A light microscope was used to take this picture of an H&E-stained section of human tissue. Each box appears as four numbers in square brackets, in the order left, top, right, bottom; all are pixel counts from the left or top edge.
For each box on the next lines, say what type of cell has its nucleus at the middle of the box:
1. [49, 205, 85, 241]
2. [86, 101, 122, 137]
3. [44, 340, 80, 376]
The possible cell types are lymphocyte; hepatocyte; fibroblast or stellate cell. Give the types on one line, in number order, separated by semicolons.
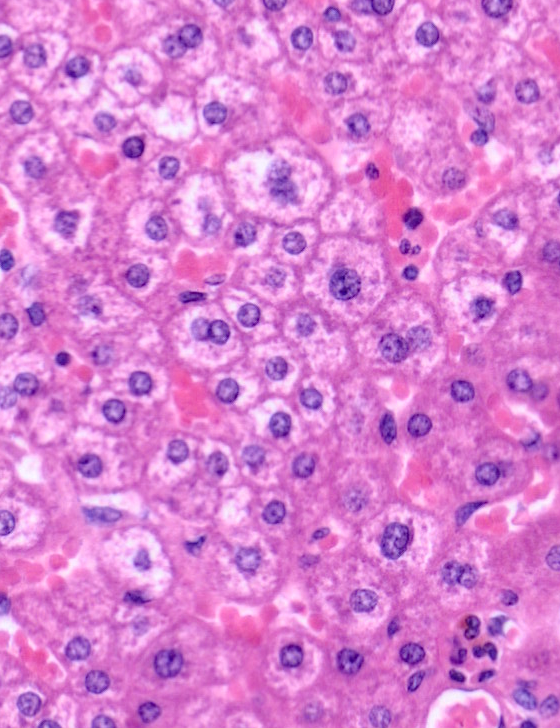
hepatocyte; hepatocyte; lymphocyte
